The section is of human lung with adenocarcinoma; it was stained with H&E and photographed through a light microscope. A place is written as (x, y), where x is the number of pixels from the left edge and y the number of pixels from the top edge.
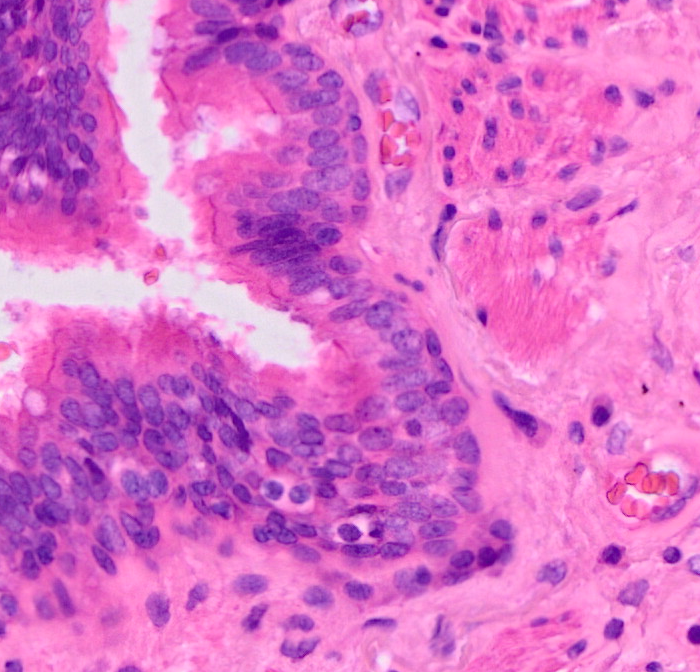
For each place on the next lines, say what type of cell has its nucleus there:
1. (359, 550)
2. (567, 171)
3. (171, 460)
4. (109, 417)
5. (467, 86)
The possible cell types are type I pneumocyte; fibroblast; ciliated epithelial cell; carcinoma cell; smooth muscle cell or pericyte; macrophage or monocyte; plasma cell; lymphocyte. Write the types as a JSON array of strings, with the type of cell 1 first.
["ciliated epithelial cell", "smooth muscle cell or pericyte", "ciliated epithelial cell", "ciliated epithelial cell", "smooth muscle cell or pericyte"]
